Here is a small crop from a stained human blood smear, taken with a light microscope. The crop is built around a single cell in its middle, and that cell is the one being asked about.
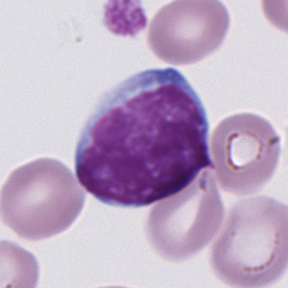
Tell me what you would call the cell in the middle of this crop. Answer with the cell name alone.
typical lymphocyte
